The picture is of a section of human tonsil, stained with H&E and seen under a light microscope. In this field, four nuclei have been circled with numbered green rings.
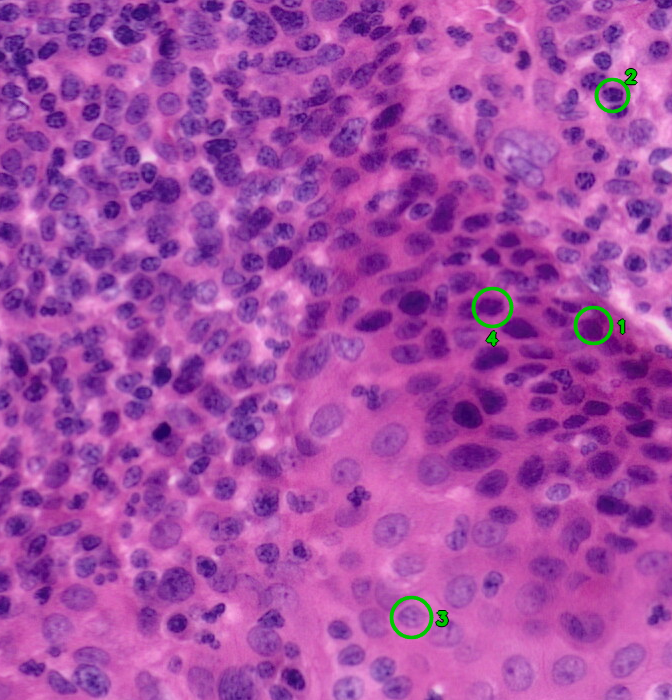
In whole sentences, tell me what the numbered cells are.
Cell 1 is a squamous epithelial cell, cell 2 is a plasma cell, cell 3 is a squamous epithelial cell and cell 4 is a squamous epithelial cell.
